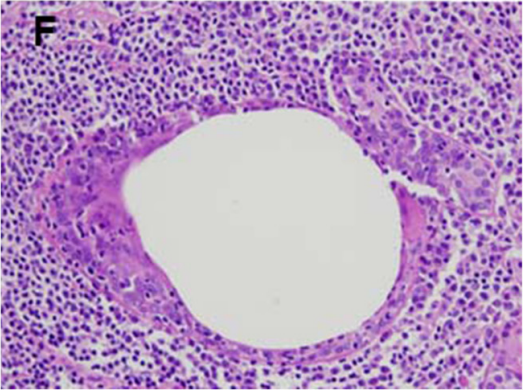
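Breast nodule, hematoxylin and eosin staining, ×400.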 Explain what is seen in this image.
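All around it the tissue is packed with inflammatory cells: many small cells with round, dark purple nuclei, mixed with cells having more pink cytoplasm and paler nuclei. The infiltrate is so dense that the normal stroma around the duct is hardly seen, and it presses right up against the duct lining.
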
